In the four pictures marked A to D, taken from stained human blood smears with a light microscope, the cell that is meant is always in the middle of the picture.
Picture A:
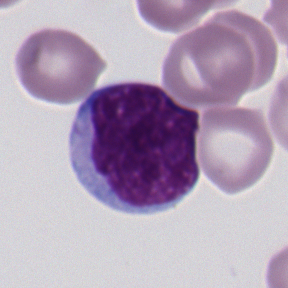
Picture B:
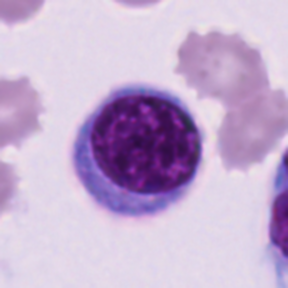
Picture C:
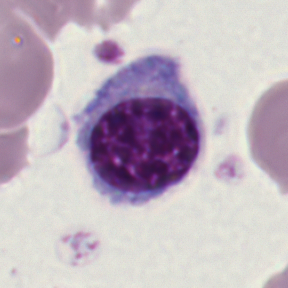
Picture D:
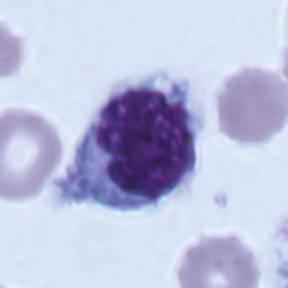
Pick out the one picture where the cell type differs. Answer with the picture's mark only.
A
